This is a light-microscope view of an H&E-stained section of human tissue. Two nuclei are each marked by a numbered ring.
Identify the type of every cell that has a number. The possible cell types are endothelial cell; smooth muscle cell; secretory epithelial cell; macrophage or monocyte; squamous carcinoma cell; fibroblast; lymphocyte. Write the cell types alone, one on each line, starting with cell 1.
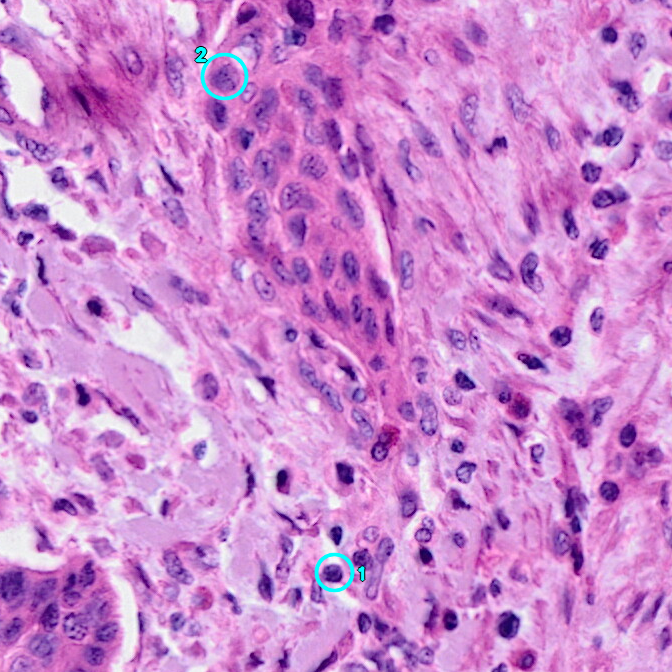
lymphocyte
squamous carcinoma cell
